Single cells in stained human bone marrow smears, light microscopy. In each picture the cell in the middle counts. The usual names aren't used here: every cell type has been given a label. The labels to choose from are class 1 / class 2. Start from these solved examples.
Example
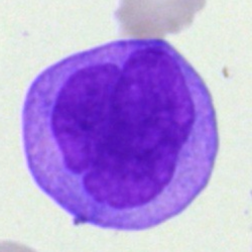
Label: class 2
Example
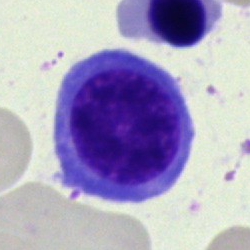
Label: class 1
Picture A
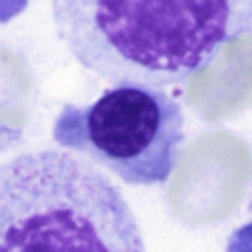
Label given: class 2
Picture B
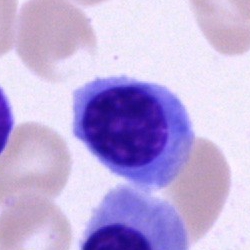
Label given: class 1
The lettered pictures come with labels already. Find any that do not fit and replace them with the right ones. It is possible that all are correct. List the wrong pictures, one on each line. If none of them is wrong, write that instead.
A is labelled class 2; correct label: class 1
